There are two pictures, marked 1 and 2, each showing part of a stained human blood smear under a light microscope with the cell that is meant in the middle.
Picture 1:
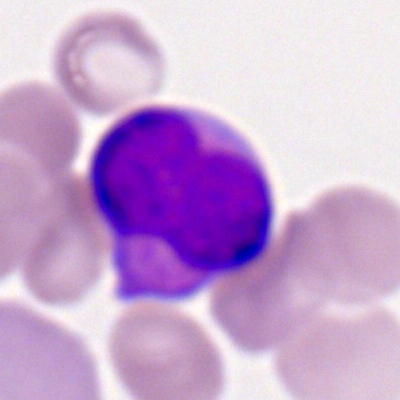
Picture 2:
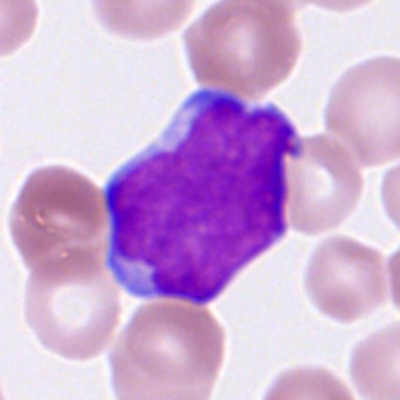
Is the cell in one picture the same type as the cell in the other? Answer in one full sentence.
Yes, they are the same type: both are myeloblasts.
